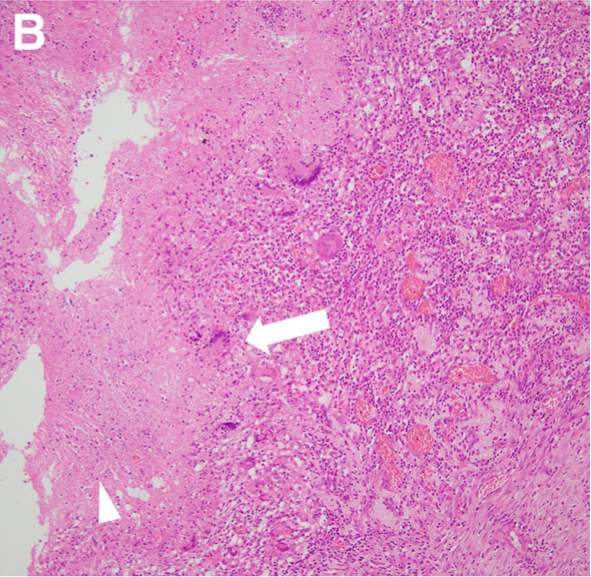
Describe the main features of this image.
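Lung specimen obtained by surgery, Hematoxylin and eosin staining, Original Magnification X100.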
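The right half is densely cellular, crowded with small dark purple nuclei of inflammatory cells, among which lie scattered pink, rounded to elongated eosinophilic structures. Several large multinucleated giant cells with clustered dark nuclei sit in the middle of the field, at the border of the cellular zone. Toward the left, the tissue becomes paler pink and sparse in nuclei, with a smudged, structureless appearance consistent with necrosis, and there are clear, empty clefts along the left edge. Between the necrotic area and the dense infiltrate lie paler cells with oval to elongated nuclei and pink cytoplasm.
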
